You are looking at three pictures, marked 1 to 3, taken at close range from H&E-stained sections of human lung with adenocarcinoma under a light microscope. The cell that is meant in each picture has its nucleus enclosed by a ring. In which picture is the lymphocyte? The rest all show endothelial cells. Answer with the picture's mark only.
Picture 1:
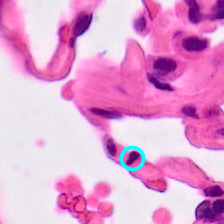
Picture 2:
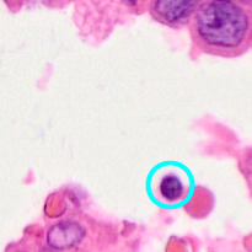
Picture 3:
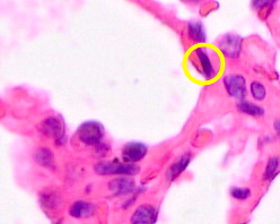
2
